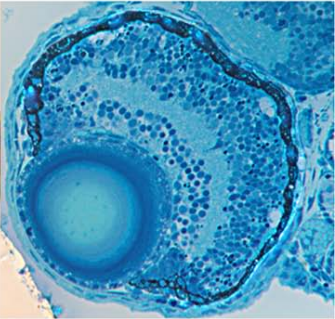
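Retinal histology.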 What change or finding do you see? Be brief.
Photoreceptor dysmorphogenesis.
